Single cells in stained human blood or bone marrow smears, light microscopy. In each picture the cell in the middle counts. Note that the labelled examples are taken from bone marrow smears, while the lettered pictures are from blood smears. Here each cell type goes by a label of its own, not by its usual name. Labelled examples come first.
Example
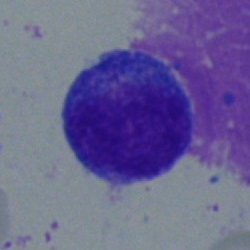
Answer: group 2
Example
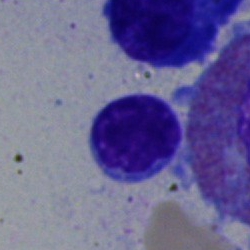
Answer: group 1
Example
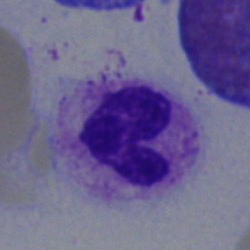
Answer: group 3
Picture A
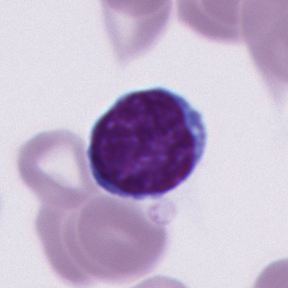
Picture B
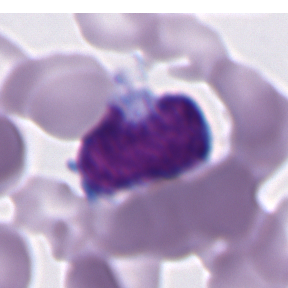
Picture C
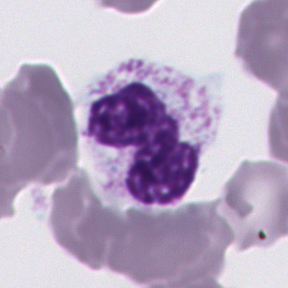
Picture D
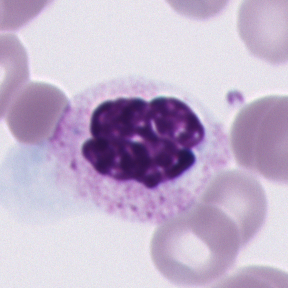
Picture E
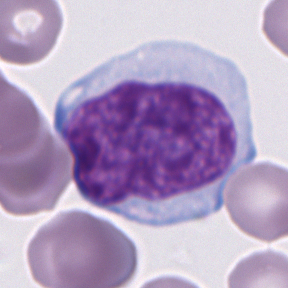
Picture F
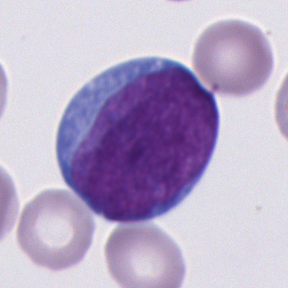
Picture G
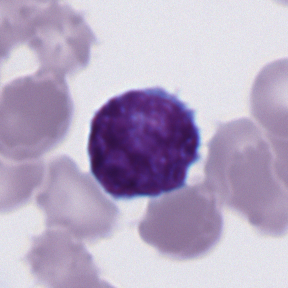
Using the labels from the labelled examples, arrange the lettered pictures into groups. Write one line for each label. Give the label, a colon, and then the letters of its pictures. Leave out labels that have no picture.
group 2: E, F
group 1: A, B, G
group 3: C, D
